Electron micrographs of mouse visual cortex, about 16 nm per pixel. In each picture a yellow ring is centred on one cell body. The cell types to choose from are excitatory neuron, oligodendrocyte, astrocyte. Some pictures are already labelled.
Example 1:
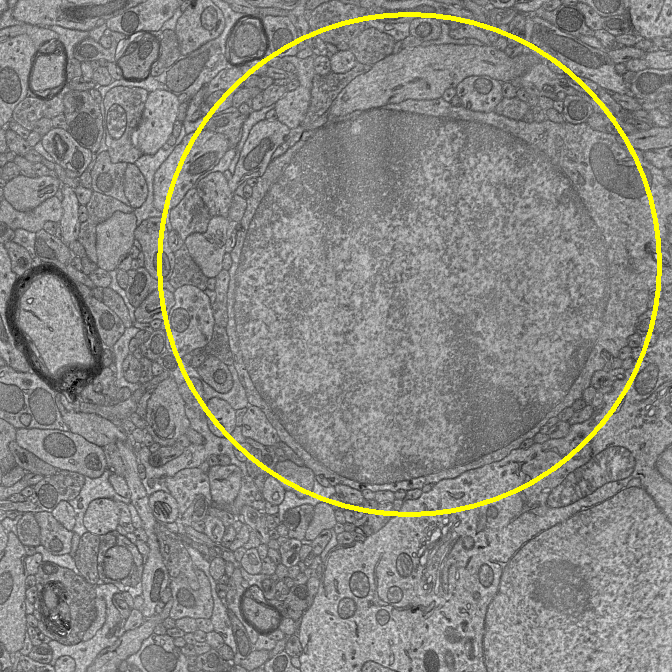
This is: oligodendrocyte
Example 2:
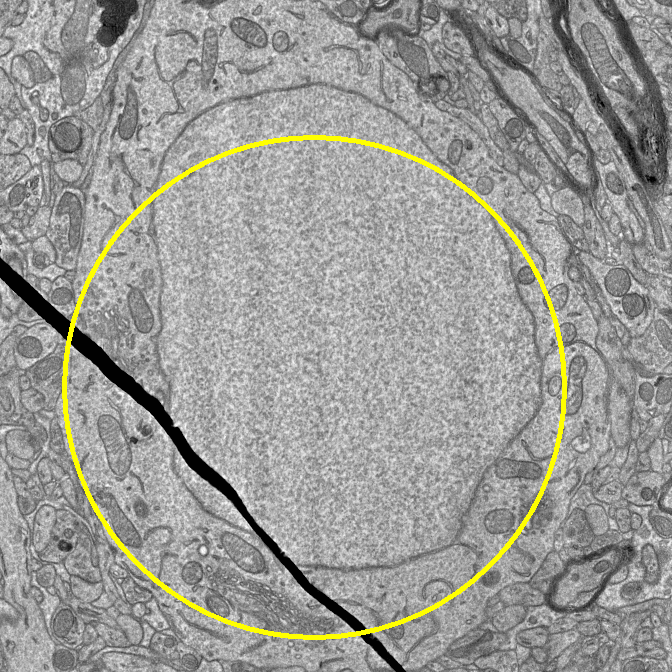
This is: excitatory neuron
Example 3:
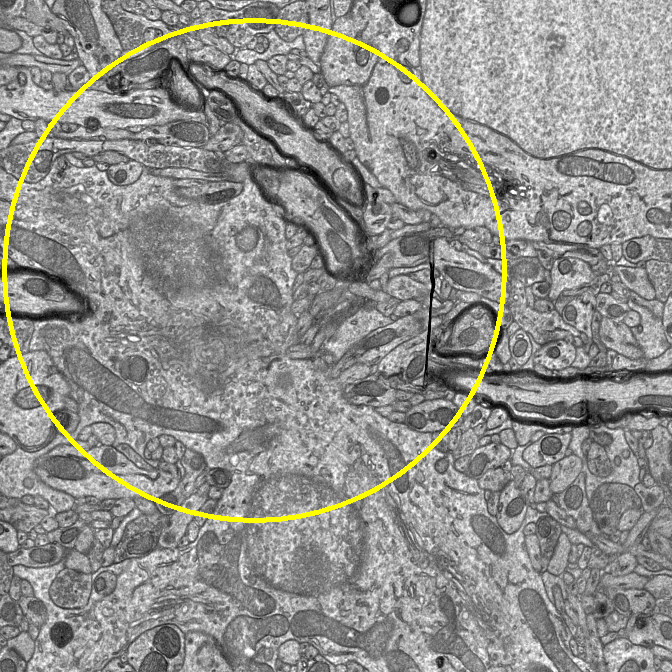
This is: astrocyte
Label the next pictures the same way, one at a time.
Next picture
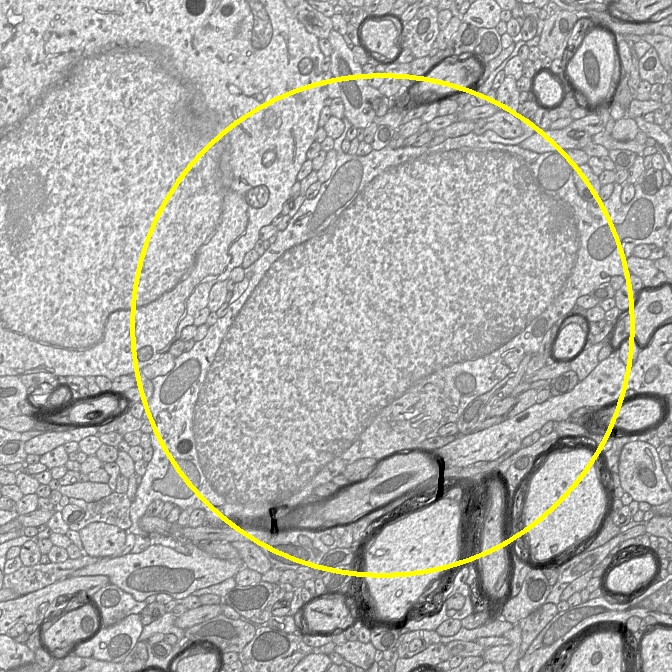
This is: astrocyte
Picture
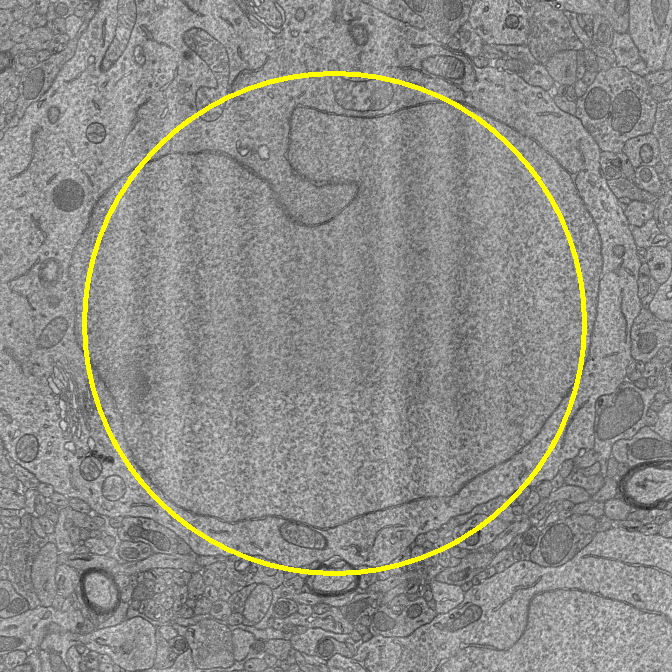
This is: excitatory neuron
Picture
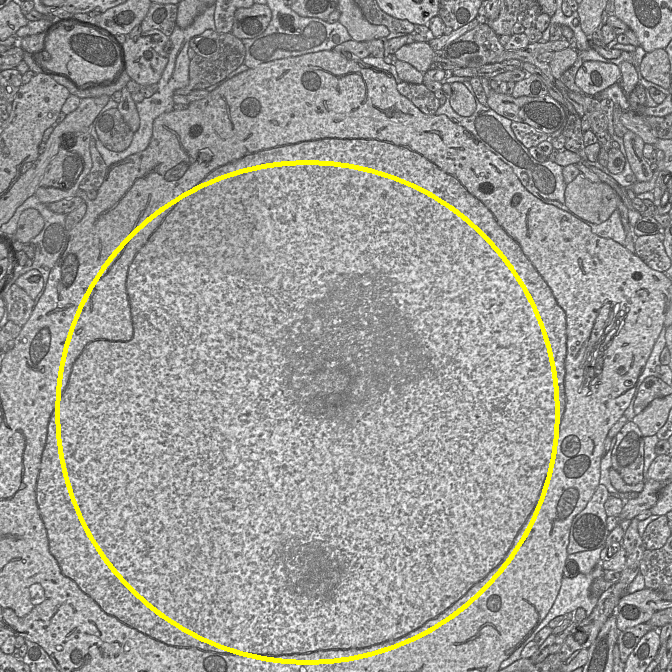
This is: excitatory neuron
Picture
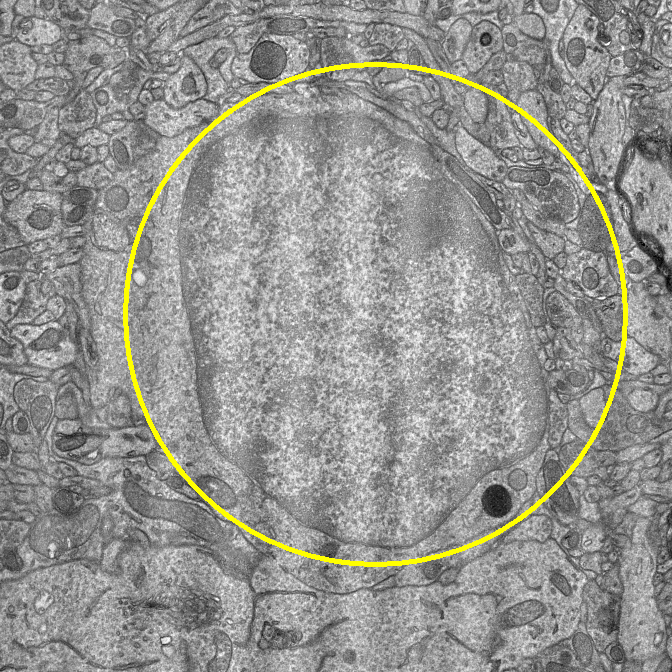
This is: oligodendrocyte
